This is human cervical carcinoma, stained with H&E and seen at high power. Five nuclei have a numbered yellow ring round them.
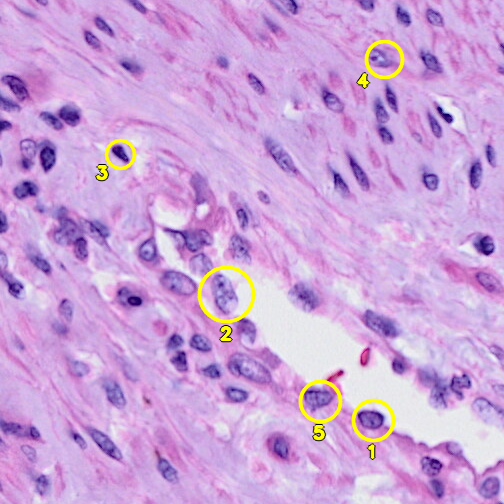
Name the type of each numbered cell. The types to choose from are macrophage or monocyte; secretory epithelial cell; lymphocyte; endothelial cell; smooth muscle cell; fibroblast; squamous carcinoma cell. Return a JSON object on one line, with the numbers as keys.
{"1": "endothelial cell", "2": "endothelial cell", "3": "lymphocyte", "4": "smooth muscle cell", "5": "endothelial cell"}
